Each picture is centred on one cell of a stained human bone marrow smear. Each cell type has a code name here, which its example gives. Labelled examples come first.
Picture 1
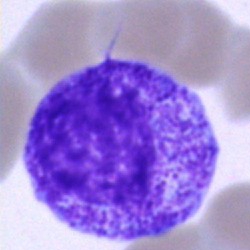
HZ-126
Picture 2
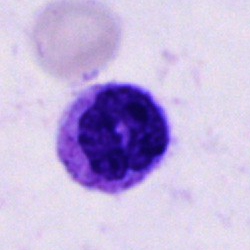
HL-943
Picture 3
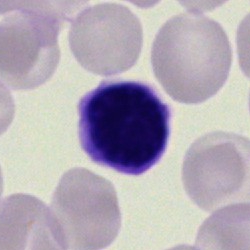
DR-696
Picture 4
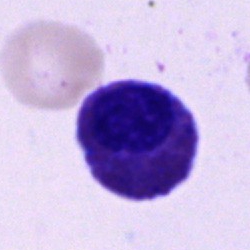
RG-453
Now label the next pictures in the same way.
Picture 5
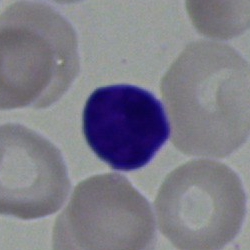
DR-696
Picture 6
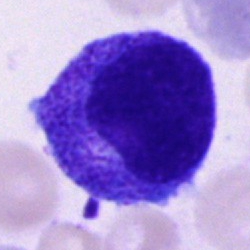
HZ-126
